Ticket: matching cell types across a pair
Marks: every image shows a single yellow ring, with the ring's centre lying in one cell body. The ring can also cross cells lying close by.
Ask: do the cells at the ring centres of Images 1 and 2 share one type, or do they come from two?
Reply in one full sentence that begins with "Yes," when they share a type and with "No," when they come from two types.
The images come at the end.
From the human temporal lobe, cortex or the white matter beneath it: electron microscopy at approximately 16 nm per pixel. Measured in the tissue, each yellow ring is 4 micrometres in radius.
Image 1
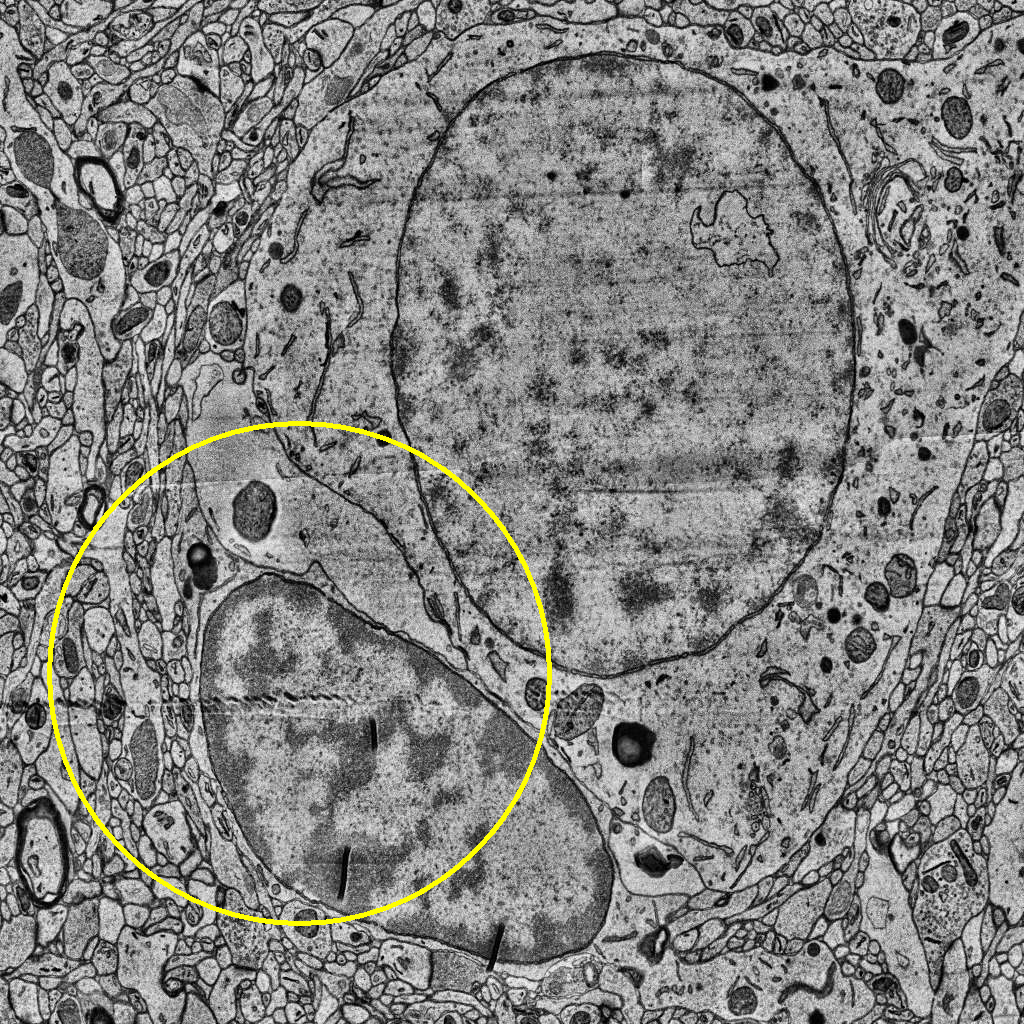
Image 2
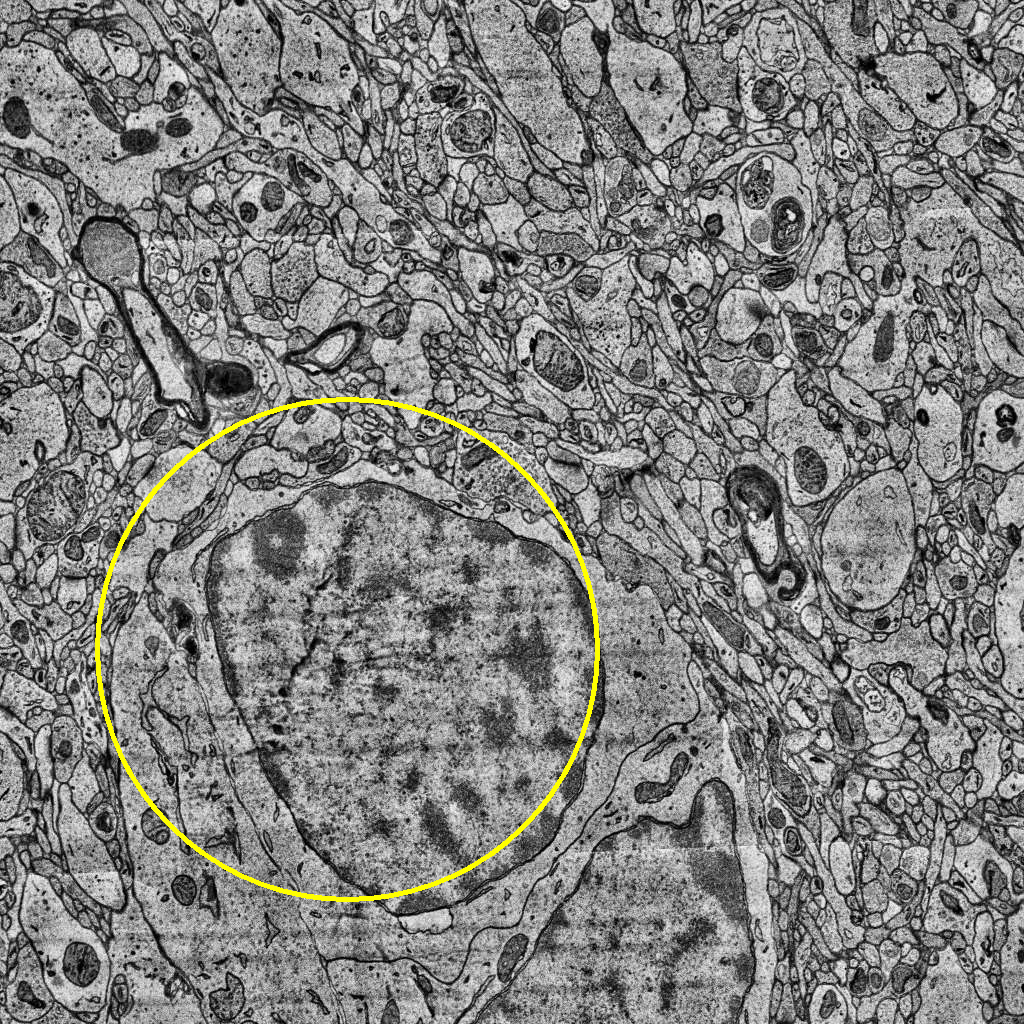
Yes, the cells at the centres of the rings in Image 1 and Image 2 share one type.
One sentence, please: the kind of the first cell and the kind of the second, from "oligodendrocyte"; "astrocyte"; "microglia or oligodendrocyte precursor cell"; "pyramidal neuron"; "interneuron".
The ring centre holds a microglial cell or oligodendrocyte precursor cell in each of the two pictures.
